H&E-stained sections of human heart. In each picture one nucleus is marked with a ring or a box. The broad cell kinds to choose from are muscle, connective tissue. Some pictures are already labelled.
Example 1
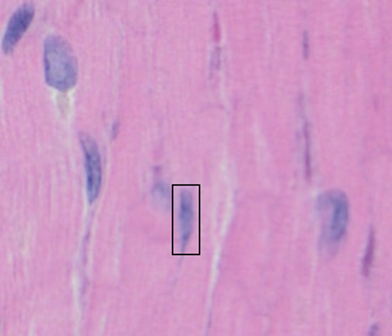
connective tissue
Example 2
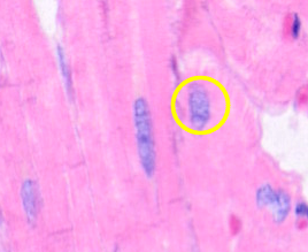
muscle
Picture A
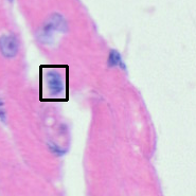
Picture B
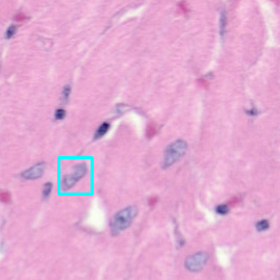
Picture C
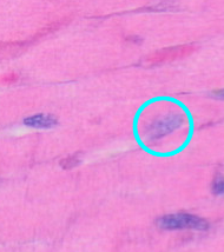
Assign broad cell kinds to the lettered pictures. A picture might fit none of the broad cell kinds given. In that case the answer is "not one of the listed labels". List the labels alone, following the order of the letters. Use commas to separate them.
connective tissue, muscle, muscle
